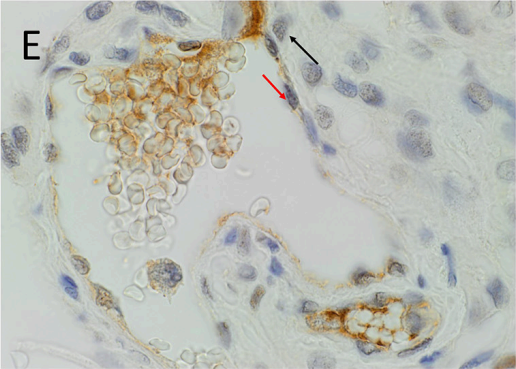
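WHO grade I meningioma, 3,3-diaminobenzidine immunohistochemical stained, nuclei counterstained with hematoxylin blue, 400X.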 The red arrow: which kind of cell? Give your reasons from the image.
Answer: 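Endothelial. The marked cell has a thin elongated nucleus along the edge of a vessel lumen. Red blood cells lie in the neighbouring lumen.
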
